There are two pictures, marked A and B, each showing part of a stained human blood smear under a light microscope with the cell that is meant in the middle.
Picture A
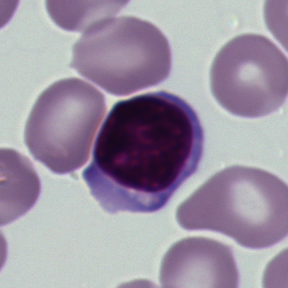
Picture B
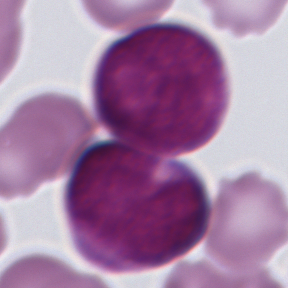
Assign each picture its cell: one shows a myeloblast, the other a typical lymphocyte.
A: typical lymphocyte
B: myeloblast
